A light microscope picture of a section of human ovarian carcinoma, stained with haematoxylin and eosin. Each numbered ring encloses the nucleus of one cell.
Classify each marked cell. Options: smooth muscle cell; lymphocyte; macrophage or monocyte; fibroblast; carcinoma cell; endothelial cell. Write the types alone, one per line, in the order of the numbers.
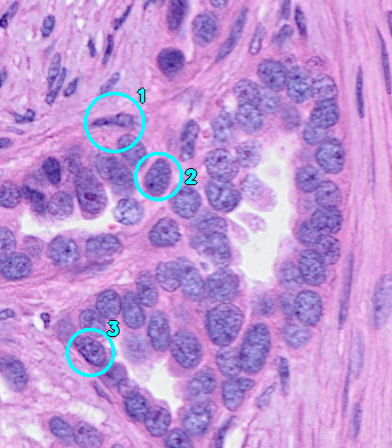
fibroblast
carcinoma cell
carcinoma cell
